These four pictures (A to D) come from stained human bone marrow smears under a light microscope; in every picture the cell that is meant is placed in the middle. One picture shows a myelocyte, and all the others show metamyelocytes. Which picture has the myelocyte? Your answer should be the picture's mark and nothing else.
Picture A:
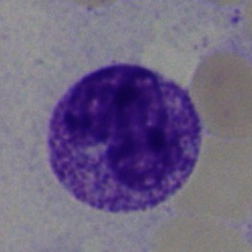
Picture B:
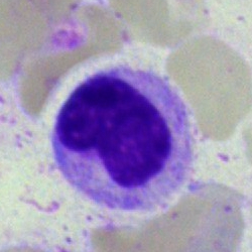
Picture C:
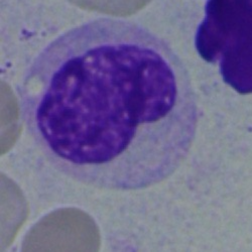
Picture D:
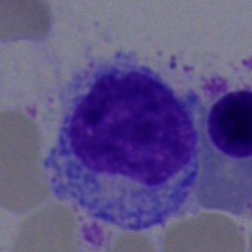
D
